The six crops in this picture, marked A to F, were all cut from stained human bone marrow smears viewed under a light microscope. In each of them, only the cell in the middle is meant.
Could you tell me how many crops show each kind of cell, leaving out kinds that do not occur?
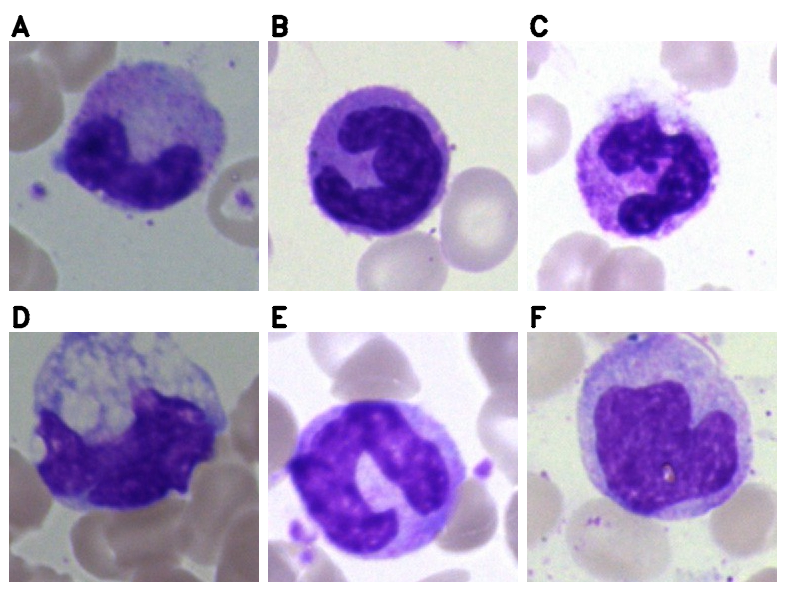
monocyte: 4
band neutrophil: 1
segmented neutrophil: 1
